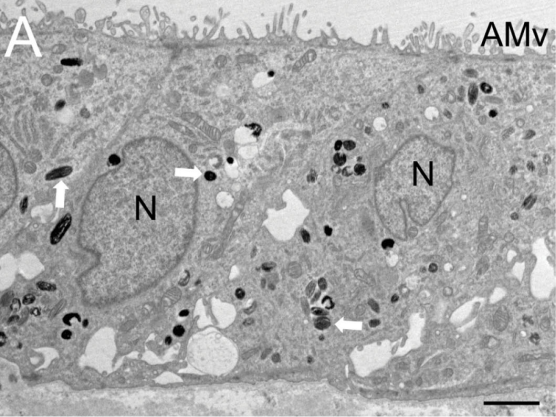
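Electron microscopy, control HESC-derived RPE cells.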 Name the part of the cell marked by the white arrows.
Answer: melanin granules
